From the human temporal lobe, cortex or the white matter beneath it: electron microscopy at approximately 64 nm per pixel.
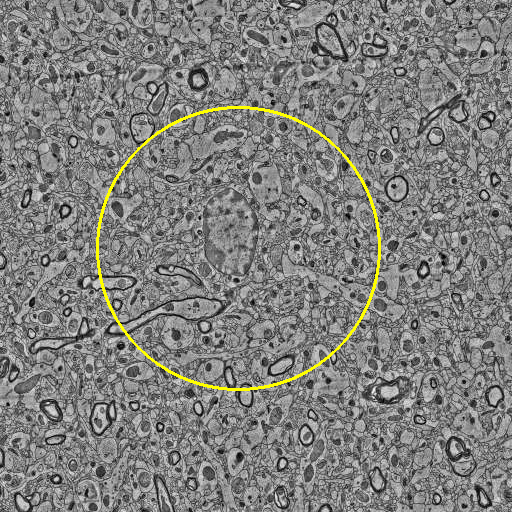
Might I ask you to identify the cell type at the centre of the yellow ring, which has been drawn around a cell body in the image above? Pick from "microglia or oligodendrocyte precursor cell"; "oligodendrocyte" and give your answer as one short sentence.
The centre of the ring falls on a microglial cell or oligodendrocyte precursor cell.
